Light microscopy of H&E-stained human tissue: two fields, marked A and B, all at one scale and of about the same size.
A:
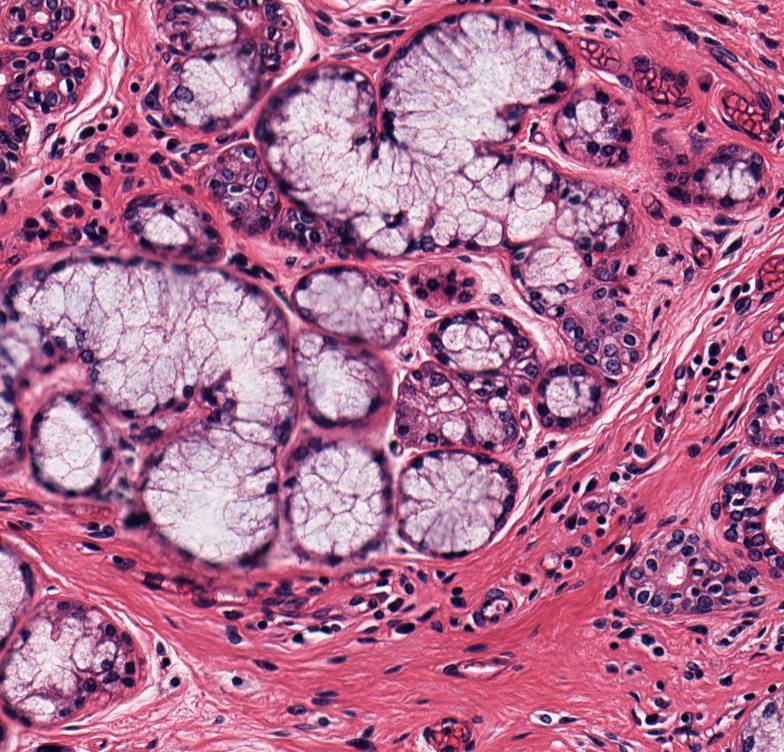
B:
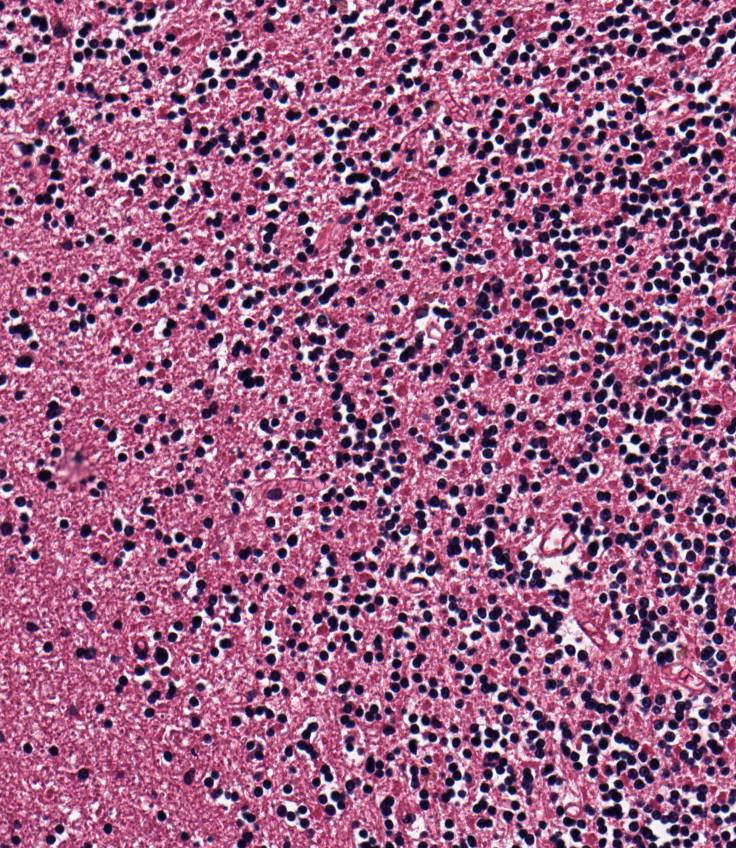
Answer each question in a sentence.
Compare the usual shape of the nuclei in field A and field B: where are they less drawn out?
The nuclei are rounder in field B.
